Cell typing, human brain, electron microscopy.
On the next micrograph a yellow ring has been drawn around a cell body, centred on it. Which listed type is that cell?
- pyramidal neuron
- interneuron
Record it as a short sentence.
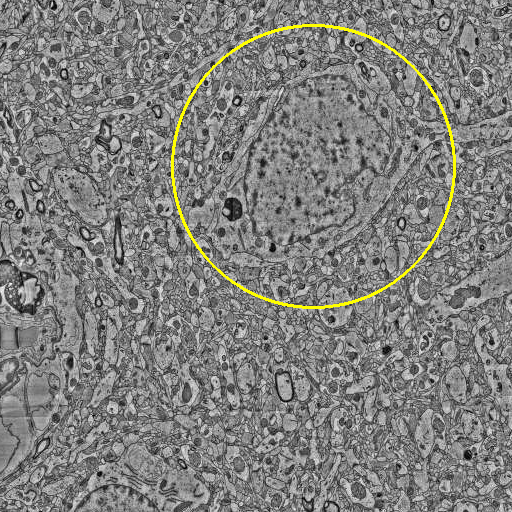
The cell body in the ring's centre belongs to an interneuron.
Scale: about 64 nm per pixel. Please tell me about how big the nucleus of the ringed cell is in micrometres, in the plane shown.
The ringed cell's nucleus is about 11 micrometres long and 8 micrometres wide in this plane.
